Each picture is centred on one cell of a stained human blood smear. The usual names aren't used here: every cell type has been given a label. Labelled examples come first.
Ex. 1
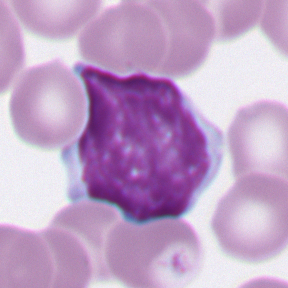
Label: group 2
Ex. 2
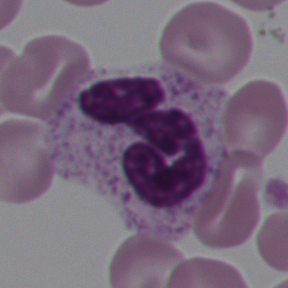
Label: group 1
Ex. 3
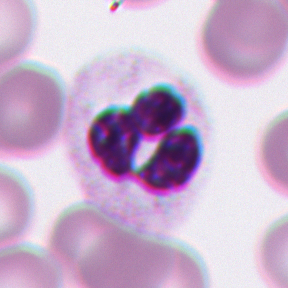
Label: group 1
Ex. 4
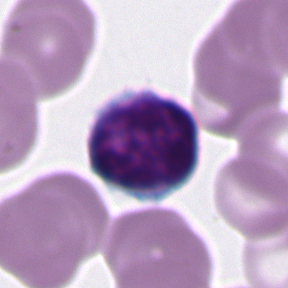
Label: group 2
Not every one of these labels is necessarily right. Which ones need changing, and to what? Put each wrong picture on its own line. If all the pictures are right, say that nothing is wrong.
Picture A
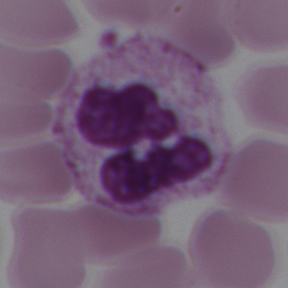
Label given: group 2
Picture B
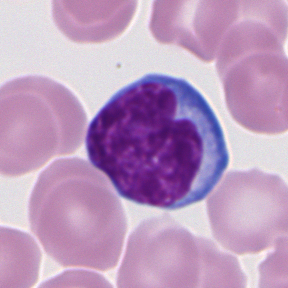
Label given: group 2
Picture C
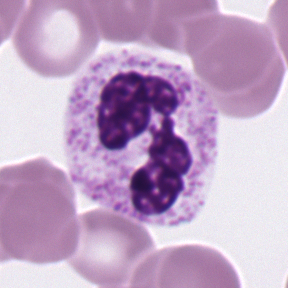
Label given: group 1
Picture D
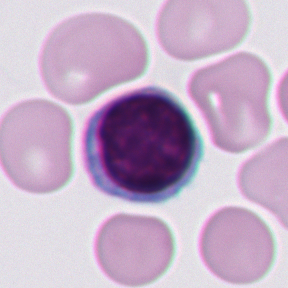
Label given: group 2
A: group 1, not group 2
